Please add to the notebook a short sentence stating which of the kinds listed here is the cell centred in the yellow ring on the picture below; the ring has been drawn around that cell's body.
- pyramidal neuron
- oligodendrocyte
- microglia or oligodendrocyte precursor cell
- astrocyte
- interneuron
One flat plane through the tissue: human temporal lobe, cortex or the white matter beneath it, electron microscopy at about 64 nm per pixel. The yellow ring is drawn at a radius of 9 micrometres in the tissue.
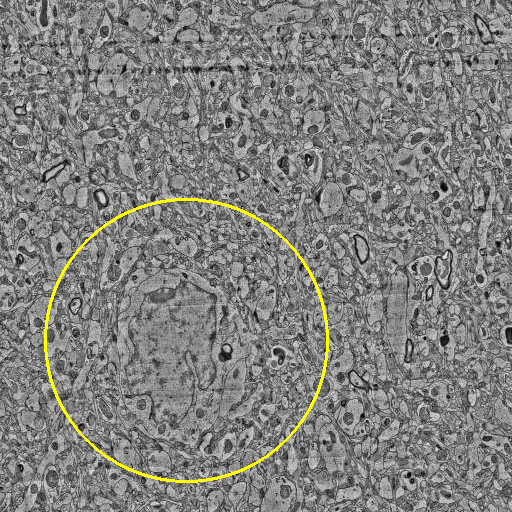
The cell centred in the yellow ring is an interneuron.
